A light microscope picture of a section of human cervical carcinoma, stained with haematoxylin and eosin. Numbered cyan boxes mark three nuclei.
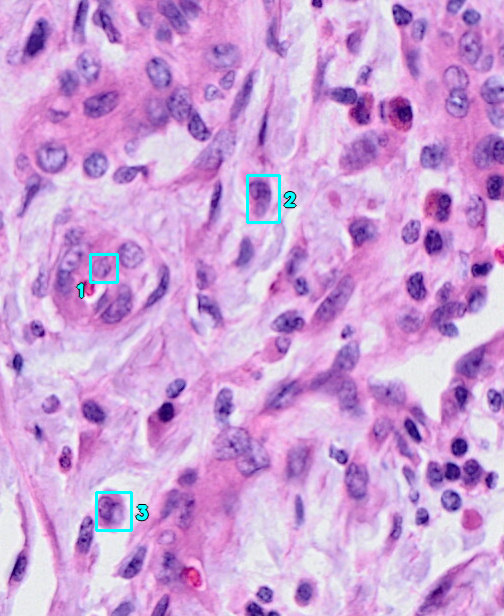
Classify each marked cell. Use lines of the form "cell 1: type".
cell 1: endothelial cell
cell 2: macrophage or monocyte
cell 3: macrophage or monocyte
